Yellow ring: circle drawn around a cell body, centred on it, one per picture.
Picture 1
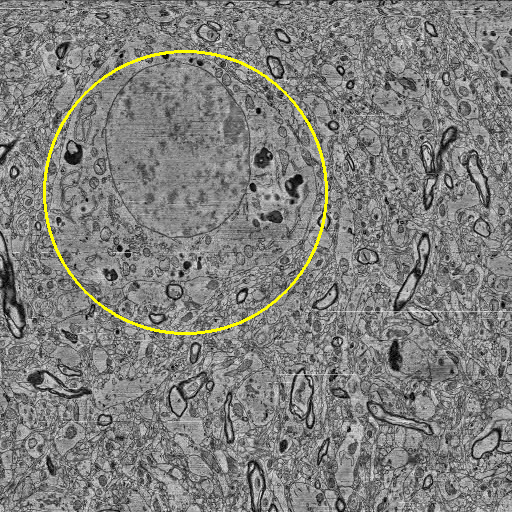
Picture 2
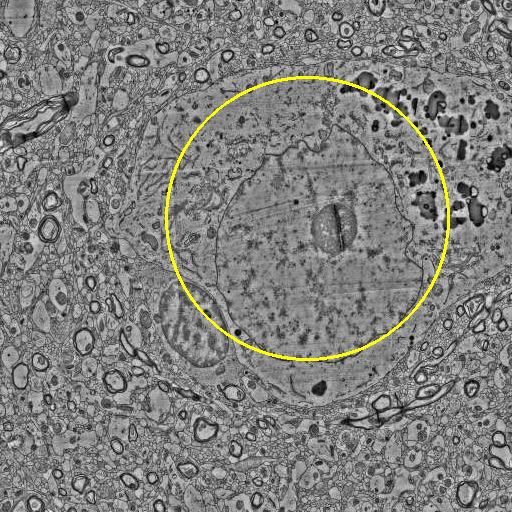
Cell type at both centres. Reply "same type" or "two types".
same type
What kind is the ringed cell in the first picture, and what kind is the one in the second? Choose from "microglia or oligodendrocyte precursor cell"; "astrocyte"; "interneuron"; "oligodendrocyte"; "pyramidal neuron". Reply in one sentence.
The ring centre holds a pyramidal neuron in each of the two pictures.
